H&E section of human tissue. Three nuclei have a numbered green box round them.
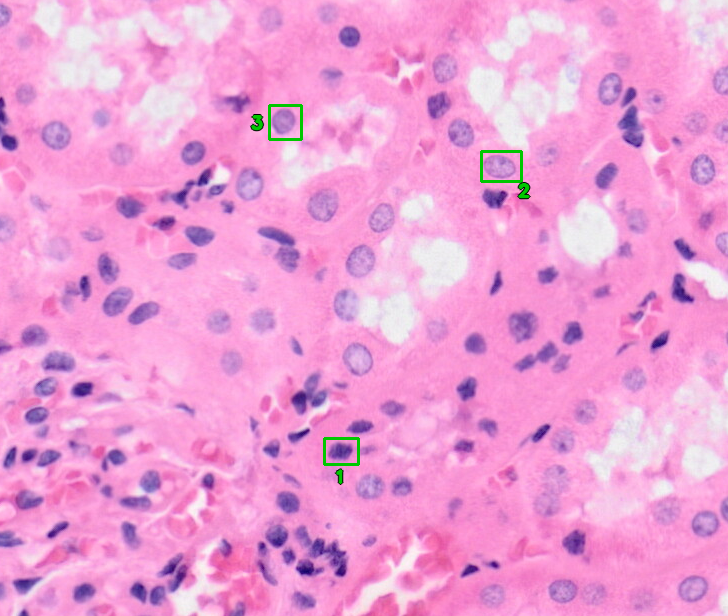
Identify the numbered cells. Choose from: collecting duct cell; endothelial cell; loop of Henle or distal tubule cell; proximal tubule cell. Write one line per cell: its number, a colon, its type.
1: loop of Henle or distal tubule cell
2: proximal tubule cell
3: proximal tubule cell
